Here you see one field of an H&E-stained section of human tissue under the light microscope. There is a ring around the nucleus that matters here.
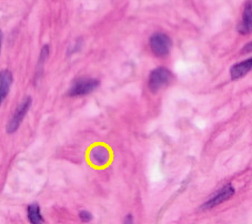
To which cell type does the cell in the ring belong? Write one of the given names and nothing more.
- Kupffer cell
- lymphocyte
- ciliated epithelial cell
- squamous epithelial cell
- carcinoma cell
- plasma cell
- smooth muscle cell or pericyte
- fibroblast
smooth muscle cell or pericyte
